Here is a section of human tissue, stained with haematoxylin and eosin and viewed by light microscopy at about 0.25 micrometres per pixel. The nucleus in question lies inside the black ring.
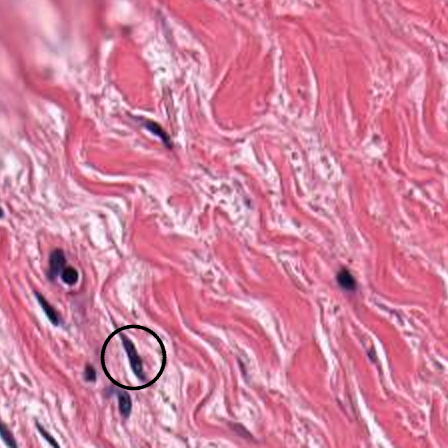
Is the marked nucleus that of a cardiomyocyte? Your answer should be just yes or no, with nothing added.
no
